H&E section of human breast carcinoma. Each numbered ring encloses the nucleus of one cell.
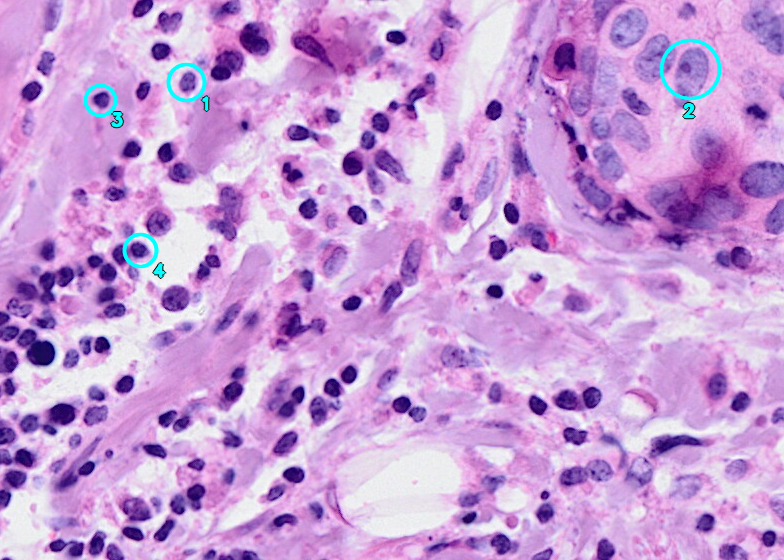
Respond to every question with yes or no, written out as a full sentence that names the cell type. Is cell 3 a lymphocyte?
Yes. The cell carrying number 3 is a lymphocyte.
